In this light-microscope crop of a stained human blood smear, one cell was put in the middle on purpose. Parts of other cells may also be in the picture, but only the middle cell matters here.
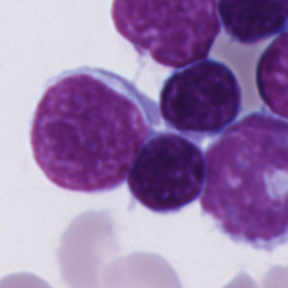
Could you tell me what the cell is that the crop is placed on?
blast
